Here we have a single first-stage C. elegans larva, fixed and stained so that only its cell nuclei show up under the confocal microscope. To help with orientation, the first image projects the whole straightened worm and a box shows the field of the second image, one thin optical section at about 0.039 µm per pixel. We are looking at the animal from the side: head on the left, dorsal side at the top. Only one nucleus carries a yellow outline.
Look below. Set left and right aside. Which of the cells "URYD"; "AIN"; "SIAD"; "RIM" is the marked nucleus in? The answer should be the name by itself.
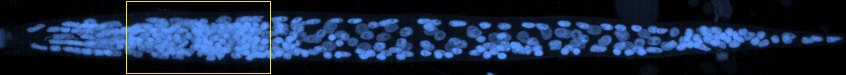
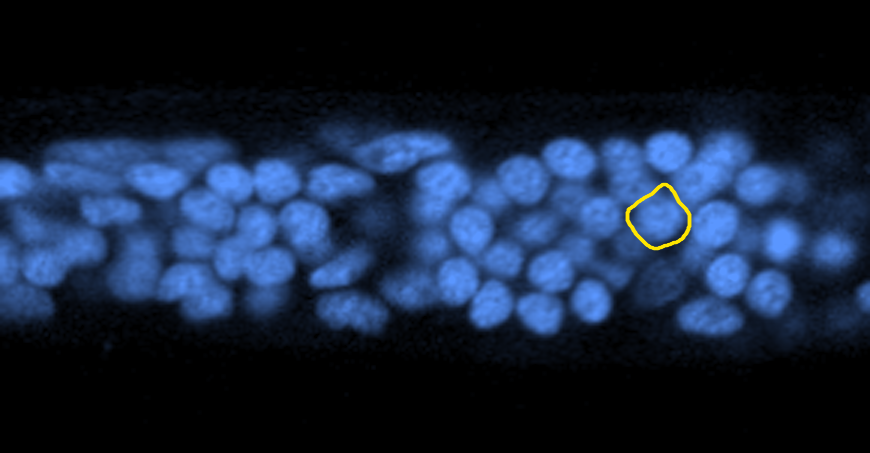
RIM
